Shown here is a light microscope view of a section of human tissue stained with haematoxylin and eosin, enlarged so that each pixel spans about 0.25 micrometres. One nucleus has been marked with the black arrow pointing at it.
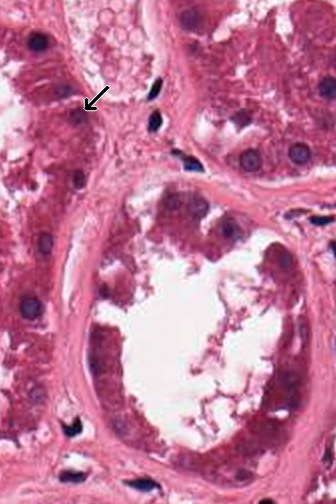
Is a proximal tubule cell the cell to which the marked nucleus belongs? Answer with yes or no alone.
yes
